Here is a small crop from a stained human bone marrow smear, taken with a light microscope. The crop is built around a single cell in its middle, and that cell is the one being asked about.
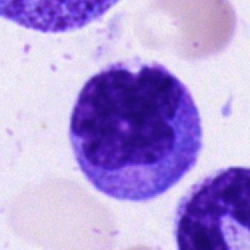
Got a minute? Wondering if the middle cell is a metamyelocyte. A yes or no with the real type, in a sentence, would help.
No, this one is a monocyte; it is not a metamyelocyte.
